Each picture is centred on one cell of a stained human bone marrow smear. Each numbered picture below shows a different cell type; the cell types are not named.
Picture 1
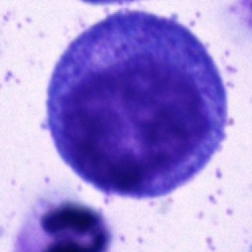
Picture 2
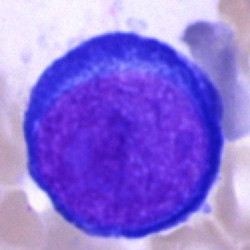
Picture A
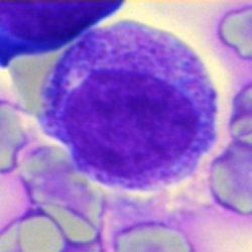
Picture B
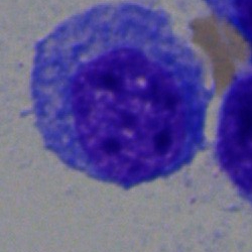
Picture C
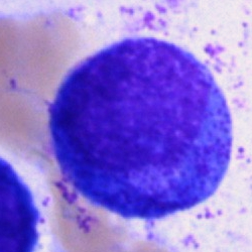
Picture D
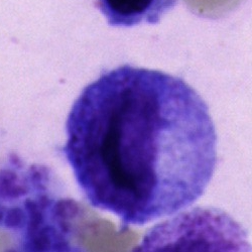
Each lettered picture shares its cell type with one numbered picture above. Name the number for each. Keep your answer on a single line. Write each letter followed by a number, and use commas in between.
A 1, B 1, C 1, D 1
